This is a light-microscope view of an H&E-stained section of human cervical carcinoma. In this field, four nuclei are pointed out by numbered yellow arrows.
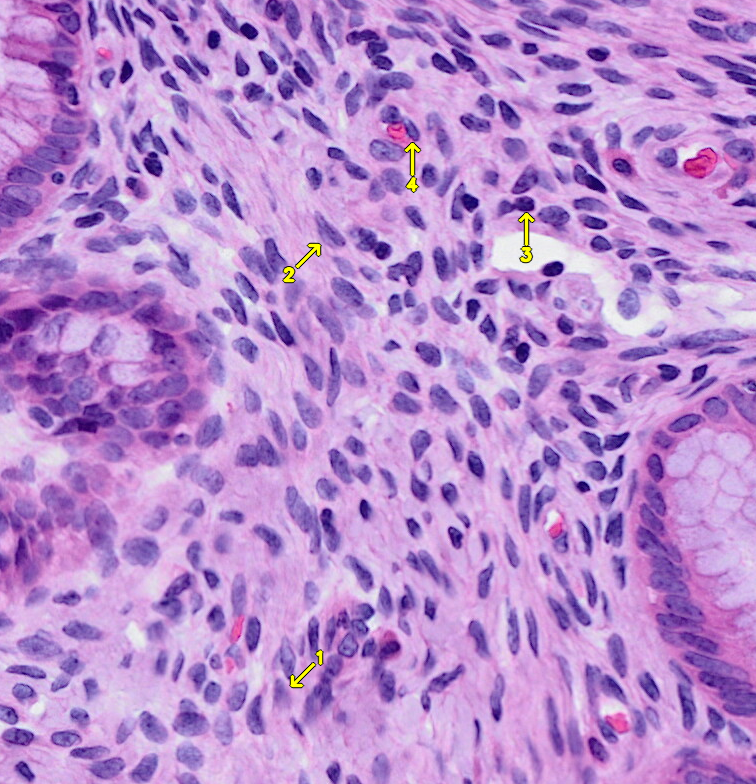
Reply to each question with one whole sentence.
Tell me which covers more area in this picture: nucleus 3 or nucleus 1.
The larger nucleus is 1, at roughly 1.5 times the area of 3.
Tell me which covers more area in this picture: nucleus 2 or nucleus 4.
At about 1.5 times the area of nucleus 4, nucleus 2 is the larger of the two.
